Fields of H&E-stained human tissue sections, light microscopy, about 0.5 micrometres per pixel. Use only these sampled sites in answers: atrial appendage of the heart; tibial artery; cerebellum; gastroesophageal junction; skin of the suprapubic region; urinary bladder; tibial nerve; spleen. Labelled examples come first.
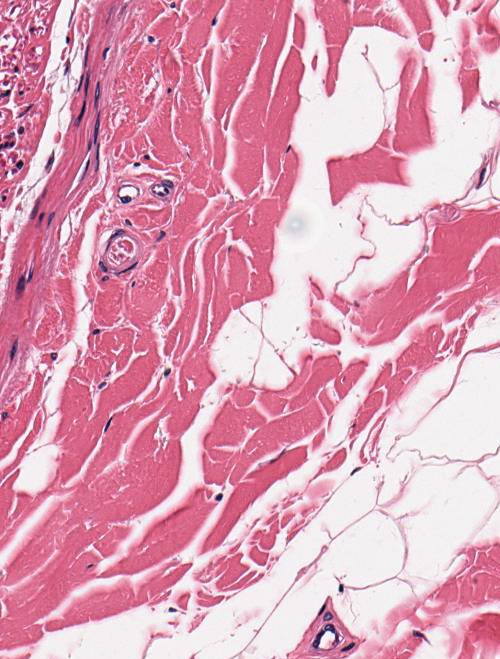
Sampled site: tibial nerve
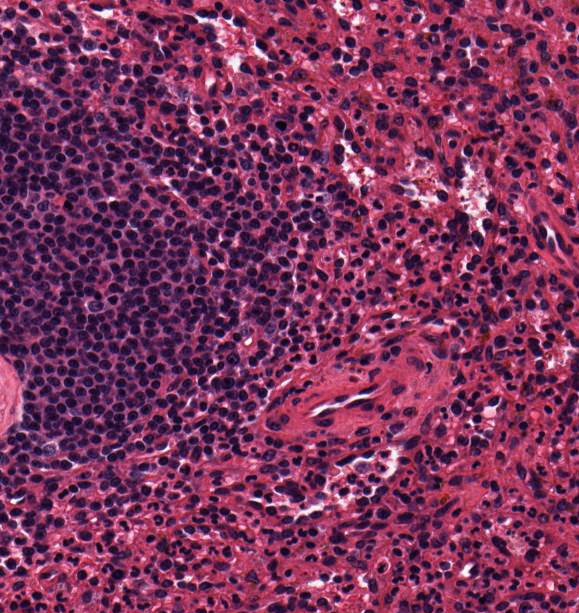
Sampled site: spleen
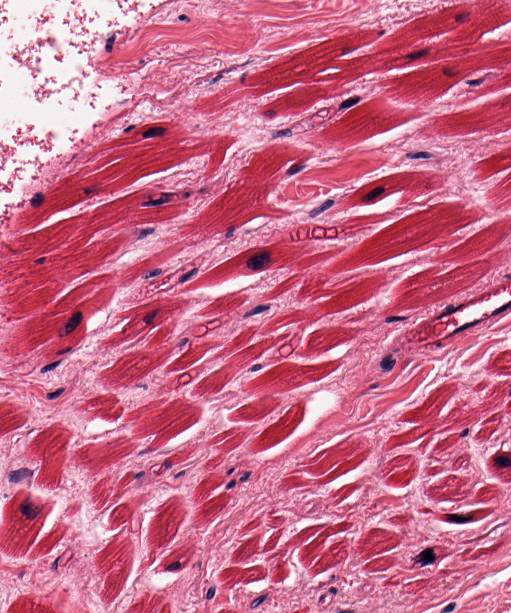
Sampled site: atrial appendage of the heart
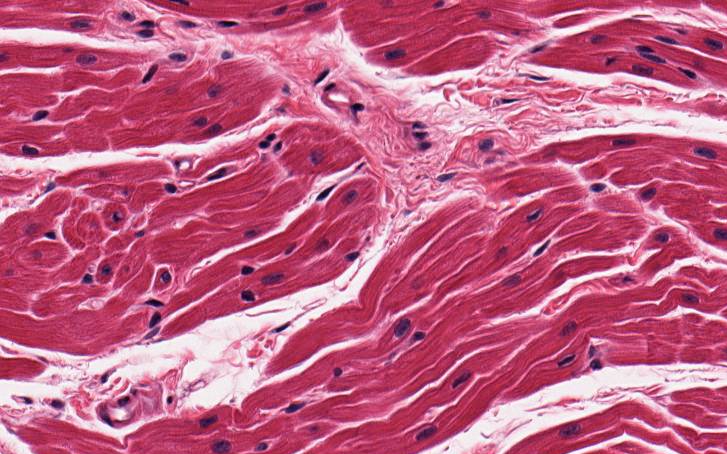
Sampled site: atrial appendage of the heart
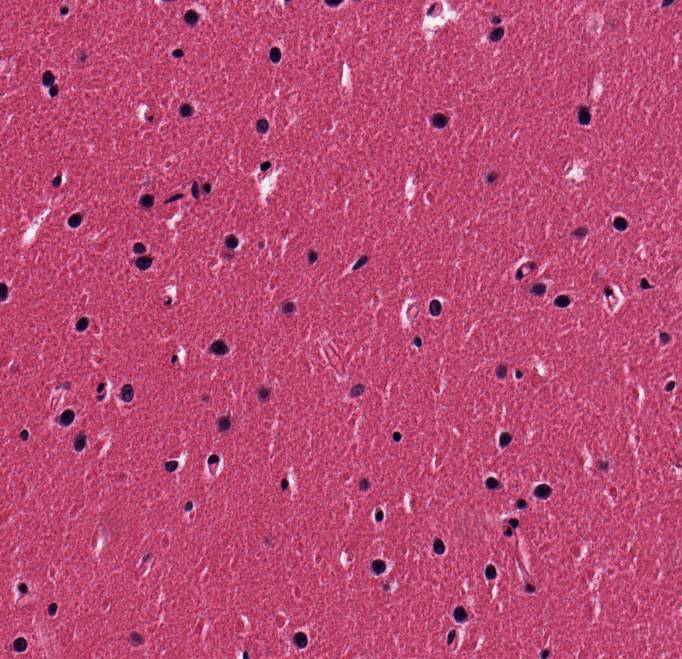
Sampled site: cerebellum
